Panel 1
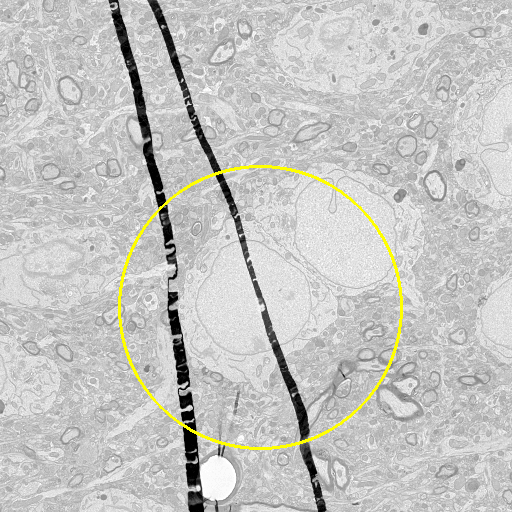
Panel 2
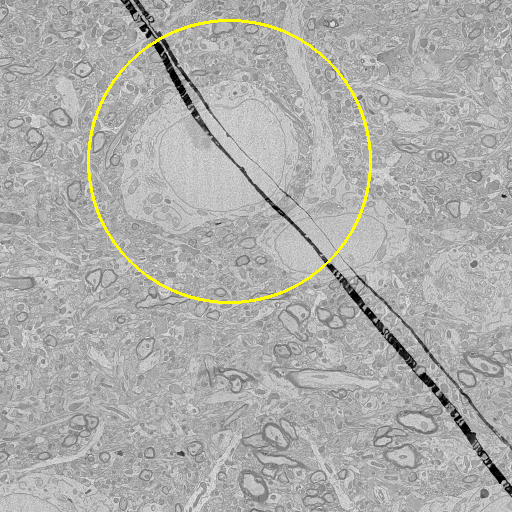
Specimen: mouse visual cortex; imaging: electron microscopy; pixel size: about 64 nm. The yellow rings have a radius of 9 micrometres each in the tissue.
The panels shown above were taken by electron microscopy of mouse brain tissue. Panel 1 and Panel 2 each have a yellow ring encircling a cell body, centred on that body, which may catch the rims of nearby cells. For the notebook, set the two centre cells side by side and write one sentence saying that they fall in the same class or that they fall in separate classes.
The centred cells of Panel 1 and Panel 2 fall in the same class.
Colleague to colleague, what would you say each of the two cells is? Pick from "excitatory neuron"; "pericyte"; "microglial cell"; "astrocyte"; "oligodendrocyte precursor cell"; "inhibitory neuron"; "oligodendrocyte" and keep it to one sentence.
Both the first and the second picture show an excitatory neuron in the ring.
